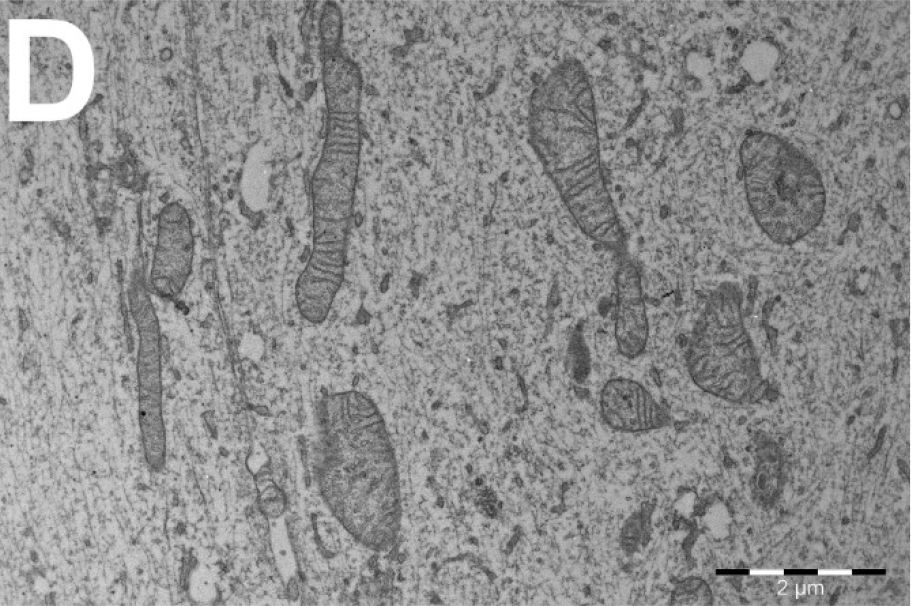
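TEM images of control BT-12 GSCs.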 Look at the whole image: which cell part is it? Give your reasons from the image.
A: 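Rod-shaped and oval organelles with dense, regularly spaced transverse cristae. The answer: intact mitochondrial structure.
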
